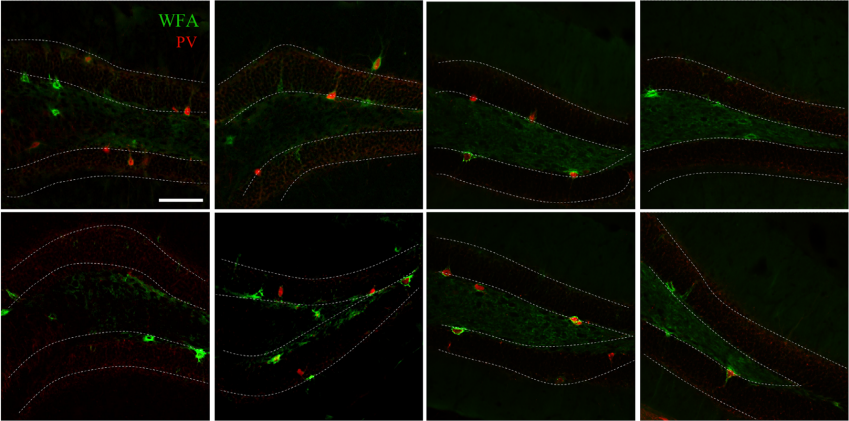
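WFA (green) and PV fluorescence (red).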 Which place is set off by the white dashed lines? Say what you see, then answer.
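Granule cell layer. In each image, pairs of white dashed lines enclose a long, gently curved band. Most of the brightly labelled cell bodies lie along or near the edges of this band.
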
